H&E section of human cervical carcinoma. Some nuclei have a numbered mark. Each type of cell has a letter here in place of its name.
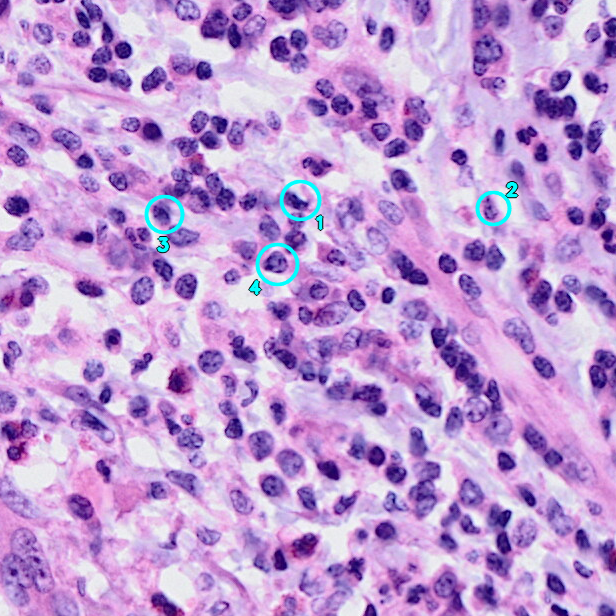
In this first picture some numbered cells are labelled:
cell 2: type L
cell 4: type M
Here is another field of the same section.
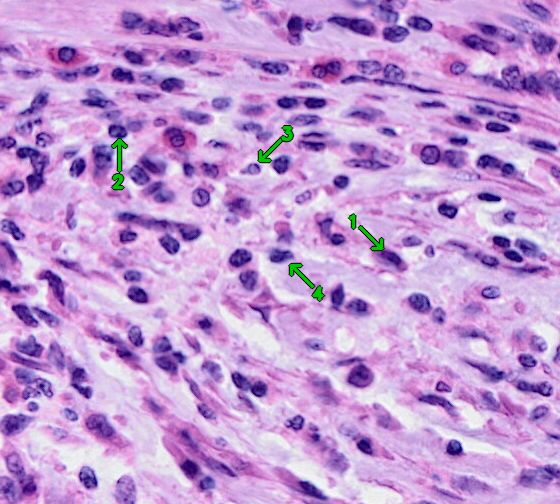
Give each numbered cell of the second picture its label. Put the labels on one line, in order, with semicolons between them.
type L; type M; type M; type M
